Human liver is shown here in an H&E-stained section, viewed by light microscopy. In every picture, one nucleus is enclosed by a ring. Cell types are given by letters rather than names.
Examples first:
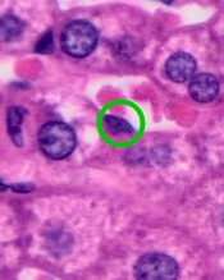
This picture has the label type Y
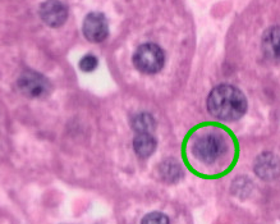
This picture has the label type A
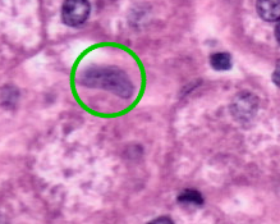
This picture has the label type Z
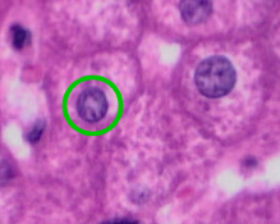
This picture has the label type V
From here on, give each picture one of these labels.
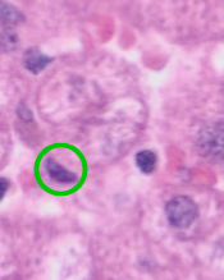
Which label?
type A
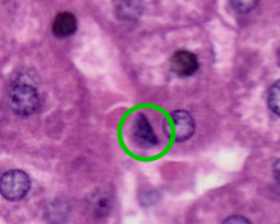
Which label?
type A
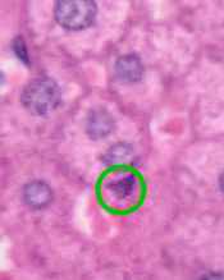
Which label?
type A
